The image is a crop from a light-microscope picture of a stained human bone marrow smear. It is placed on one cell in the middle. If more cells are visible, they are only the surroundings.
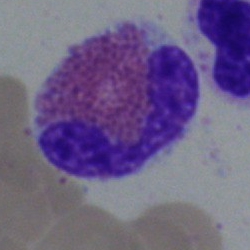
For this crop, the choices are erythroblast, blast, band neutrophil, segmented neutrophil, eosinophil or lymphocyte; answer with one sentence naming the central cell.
The cell positioned in the middle of the field is an eosinophil.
